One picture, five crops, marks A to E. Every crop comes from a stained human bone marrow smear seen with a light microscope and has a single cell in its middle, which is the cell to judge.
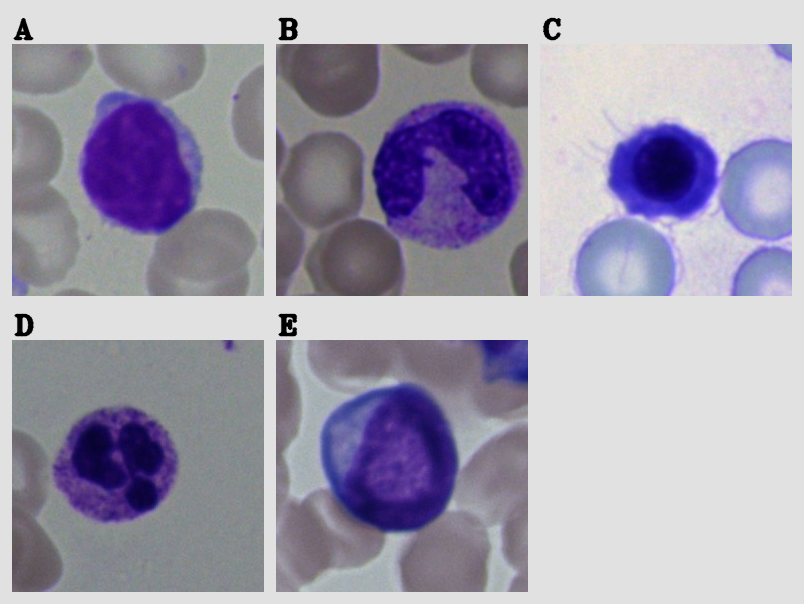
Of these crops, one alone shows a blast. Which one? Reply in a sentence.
The crop marked E is the one that shows a blast.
